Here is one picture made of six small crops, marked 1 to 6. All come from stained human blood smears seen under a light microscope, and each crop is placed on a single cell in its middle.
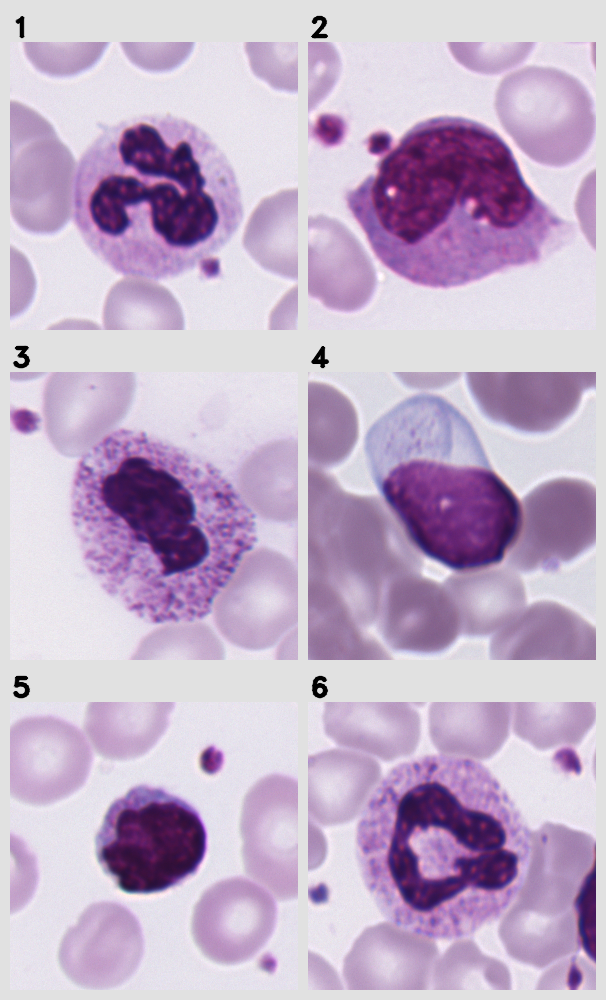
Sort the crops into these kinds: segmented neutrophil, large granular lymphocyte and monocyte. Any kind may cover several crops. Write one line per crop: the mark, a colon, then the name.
1: segmented neutrophil
2: monocyte
3: segmented neutrophil
4: large granular lymphocyte
5: large granular lymphocyte
6: segmented neutrophil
